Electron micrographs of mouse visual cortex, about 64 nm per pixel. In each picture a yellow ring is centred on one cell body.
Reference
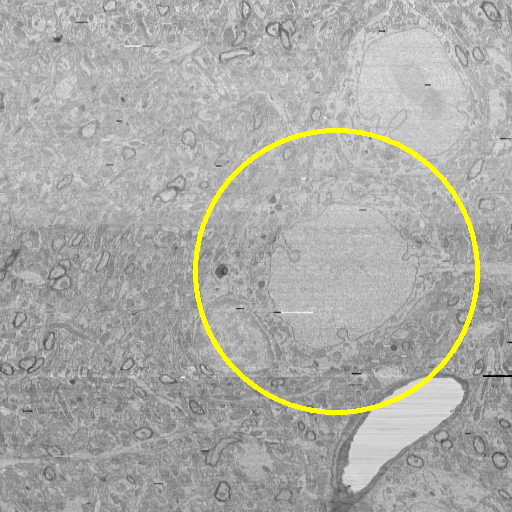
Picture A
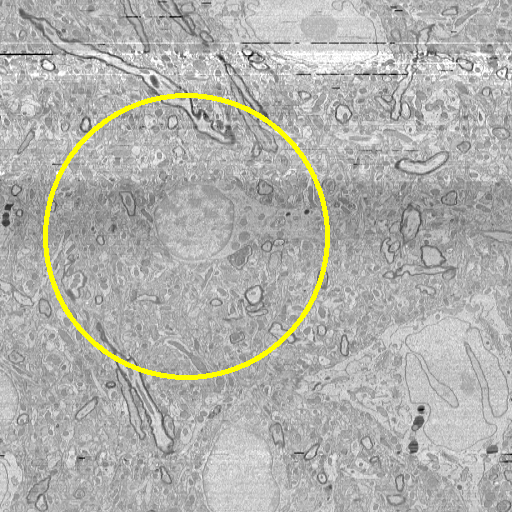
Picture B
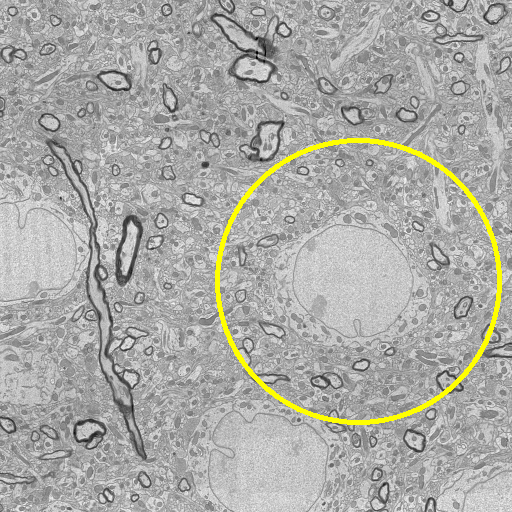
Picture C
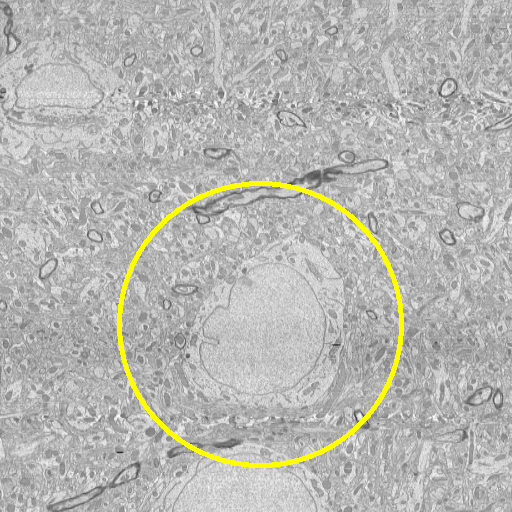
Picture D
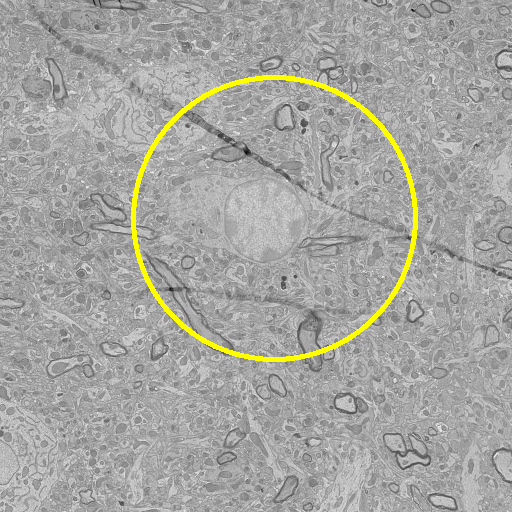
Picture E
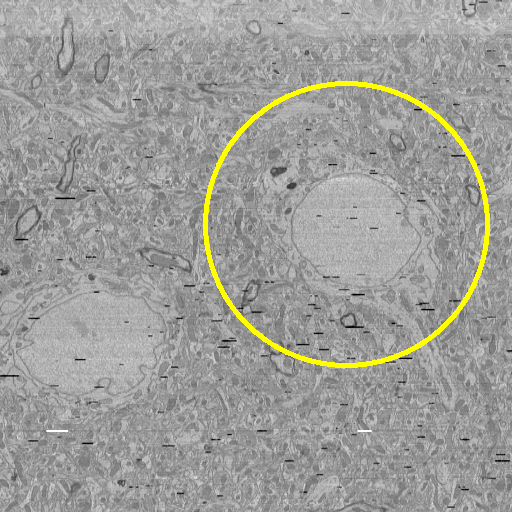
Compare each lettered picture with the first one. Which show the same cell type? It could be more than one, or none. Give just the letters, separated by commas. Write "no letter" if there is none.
B, C, E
